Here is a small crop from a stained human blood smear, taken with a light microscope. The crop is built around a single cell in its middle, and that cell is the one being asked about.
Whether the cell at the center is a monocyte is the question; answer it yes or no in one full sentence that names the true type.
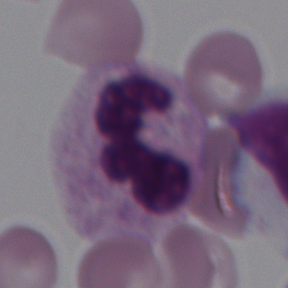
No, the middle cell is not a monocyte, it being a segmented neutrophil.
